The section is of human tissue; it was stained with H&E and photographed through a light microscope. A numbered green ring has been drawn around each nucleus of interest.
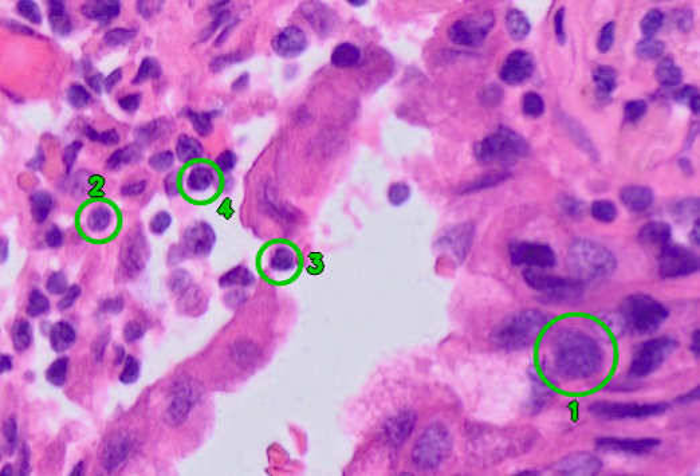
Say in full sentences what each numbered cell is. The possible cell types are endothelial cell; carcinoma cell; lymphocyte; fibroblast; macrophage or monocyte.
Cell 1 is a carcinoma cell, cell 2 is a lymphocyte, cell 3 is a lymphocyte and cell 4 is a lymphocyte.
